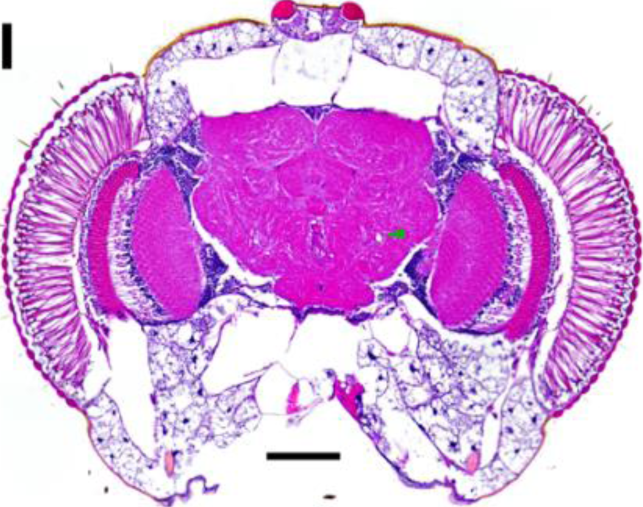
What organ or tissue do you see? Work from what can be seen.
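Brain. A large pink-stained central mass of neuropil with a purple rim of cell bodies. Optic lobes flank the central mass, with compound eyes at both sides of the head.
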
